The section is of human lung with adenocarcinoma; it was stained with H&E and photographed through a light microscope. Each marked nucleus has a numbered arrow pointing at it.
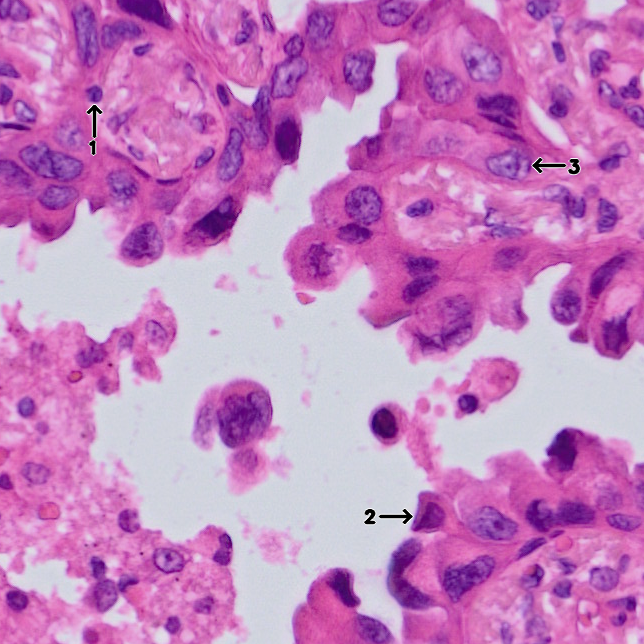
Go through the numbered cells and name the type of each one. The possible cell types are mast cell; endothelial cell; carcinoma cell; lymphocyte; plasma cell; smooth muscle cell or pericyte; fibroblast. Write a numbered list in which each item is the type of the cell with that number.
1. lymphocyte
2. carcinoma cell
3. carcinoma cell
